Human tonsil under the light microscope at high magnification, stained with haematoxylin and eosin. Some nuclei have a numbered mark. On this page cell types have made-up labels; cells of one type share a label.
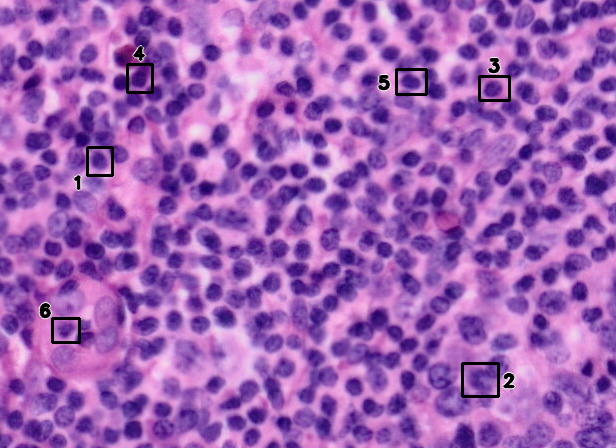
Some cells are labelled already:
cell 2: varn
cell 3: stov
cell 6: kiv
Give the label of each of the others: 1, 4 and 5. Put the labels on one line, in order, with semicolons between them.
stov; stov; stov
